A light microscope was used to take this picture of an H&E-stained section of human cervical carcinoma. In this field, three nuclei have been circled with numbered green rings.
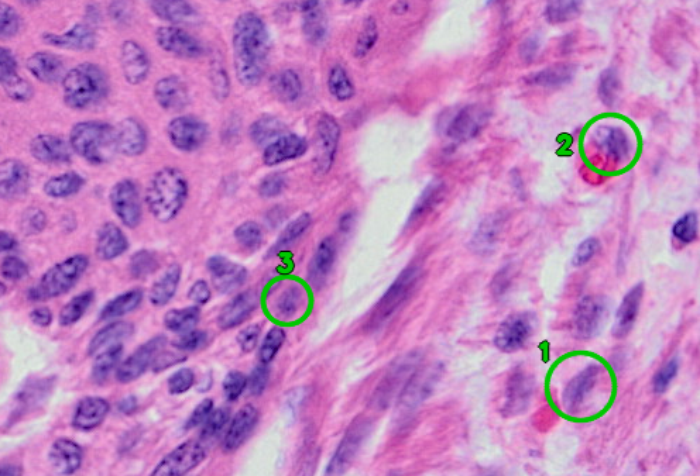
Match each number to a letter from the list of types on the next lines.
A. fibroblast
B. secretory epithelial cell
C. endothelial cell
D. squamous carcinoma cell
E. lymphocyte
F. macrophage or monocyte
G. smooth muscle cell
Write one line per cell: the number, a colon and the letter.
1: C
2: C
3: D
